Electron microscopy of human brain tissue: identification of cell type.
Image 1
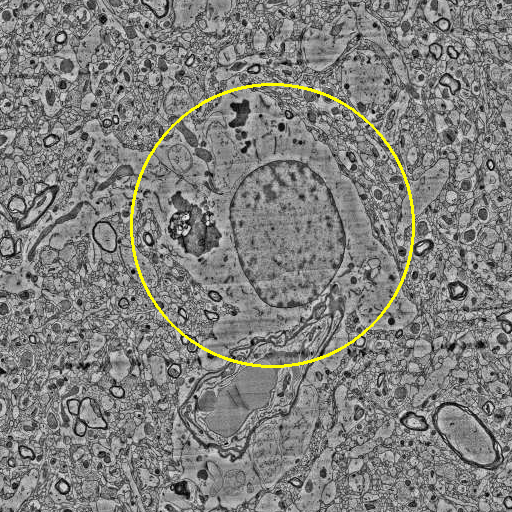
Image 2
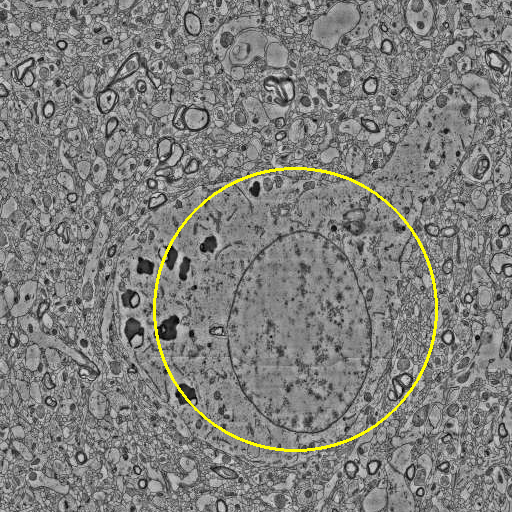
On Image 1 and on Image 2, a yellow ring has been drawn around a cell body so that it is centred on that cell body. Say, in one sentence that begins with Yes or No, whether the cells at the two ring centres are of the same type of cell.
No, the two cells are two separate types of cell.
